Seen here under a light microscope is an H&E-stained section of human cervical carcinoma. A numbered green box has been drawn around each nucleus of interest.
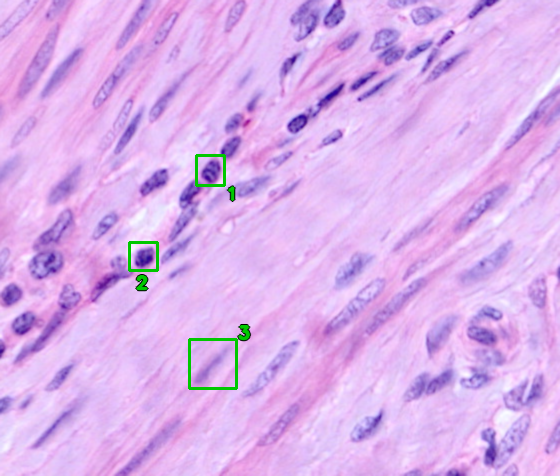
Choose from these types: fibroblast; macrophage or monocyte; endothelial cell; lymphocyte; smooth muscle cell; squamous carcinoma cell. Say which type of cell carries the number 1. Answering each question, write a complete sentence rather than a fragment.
That cell with number 1 is a lymphocyte.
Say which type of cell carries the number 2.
The expected answer is that cell 2 is a lymphocyte.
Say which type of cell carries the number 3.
The cell that carries the label 3 is a smooth muscle cell.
